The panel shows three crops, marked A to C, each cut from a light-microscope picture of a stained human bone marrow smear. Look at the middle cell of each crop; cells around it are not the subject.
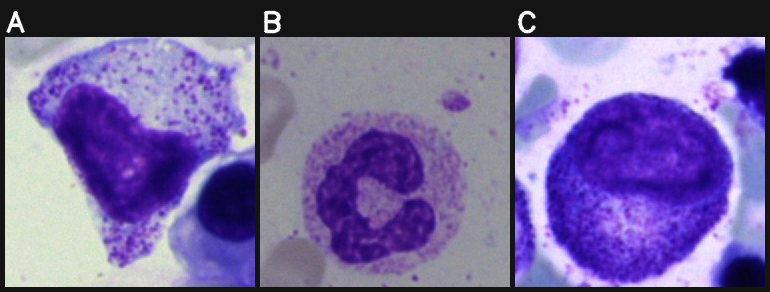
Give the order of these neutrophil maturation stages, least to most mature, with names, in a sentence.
The correct order, least to most mature, is crop C (a myelocyte), crop A (a metamyelocyte) and crop B (a segmented neutrophil).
